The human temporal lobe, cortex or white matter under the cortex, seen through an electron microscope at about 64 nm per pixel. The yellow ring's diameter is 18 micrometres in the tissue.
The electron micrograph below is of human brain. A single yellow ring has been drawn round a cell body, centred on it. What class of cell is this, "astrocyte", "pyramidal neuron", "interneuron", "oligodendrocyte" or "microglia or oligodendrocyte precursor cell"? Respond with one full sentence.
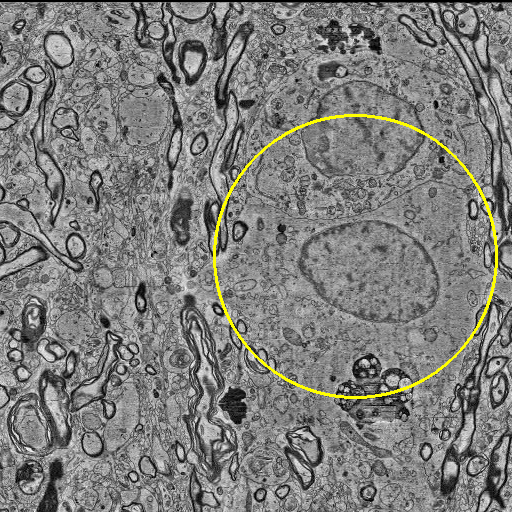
In the micrograph, the cell centred inside the yellow ring is an astrocyte.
